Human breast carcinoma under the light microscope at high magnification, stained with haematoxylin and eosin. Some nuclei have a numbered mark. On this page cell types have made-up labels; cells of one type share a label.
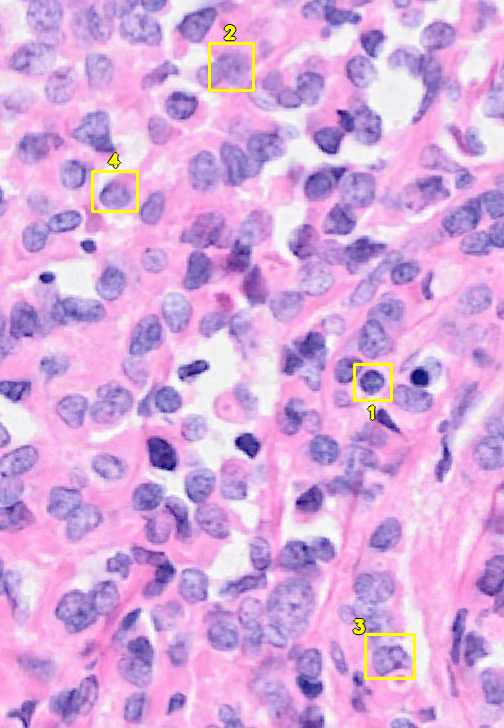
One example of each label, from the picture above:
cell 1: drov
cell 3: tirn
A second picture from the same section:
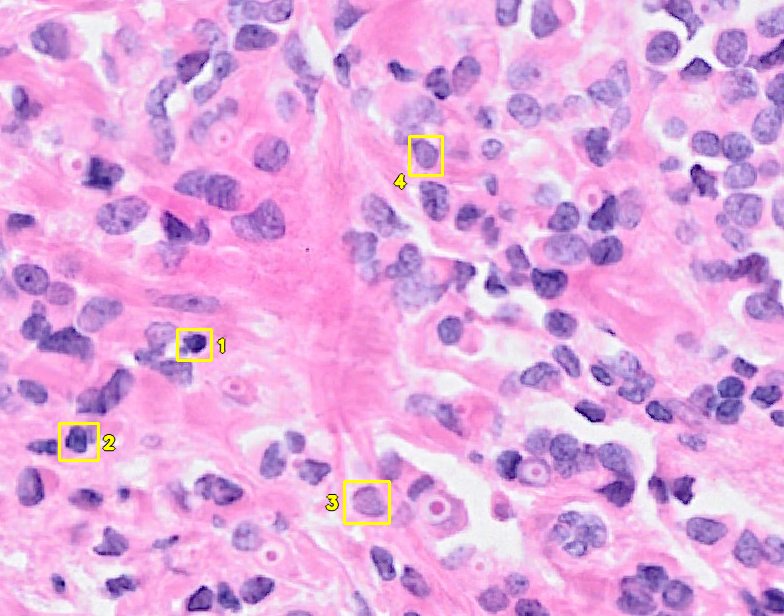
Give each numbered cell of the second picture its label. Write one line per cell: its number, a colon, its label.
1: drov
2: drov
3: tirn
4: tirn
